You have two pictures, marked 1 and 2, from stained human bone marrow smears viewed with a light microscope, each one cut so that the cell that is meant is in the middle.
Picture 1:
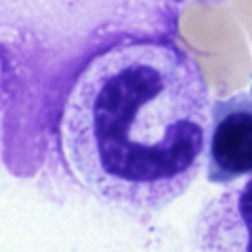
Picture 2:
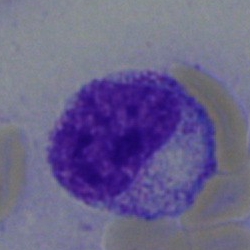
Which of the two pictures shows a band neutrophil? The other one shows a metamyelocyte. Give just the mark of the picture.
1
